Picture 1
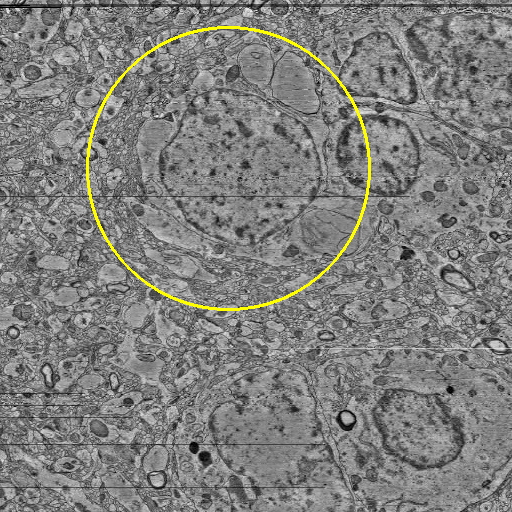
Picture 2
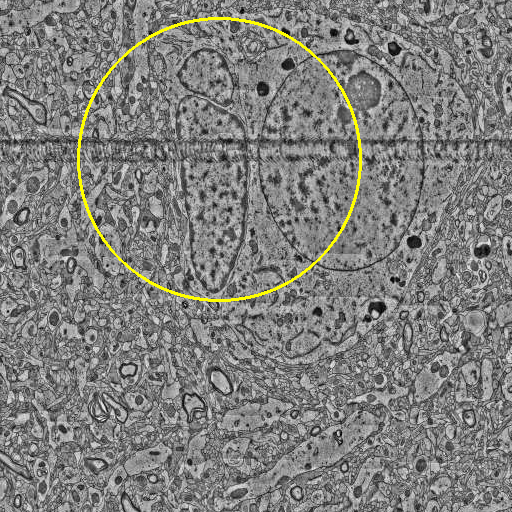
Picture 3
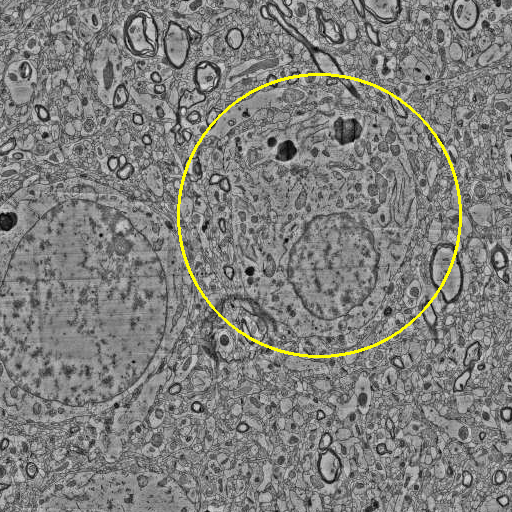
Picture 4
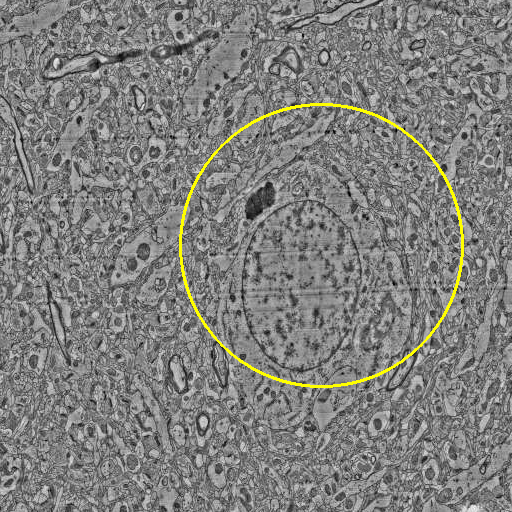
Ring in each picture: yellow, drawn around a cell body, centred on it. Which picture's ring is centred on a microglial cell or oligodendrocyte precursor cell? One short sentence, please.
Picture 2 is the one.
